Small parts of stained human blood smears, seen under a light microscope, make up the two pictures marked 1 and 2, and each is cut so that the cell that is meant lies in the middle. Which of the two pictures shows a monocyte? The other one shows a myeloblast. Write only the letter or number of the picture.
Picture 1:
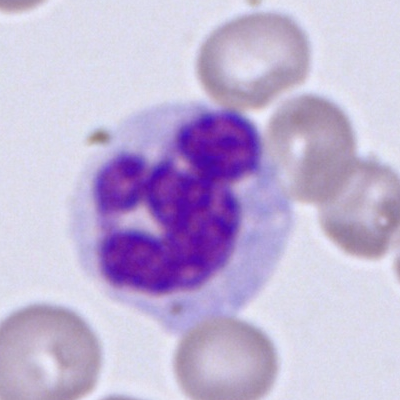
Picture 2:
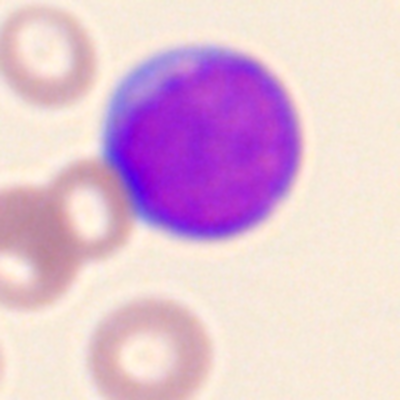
1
